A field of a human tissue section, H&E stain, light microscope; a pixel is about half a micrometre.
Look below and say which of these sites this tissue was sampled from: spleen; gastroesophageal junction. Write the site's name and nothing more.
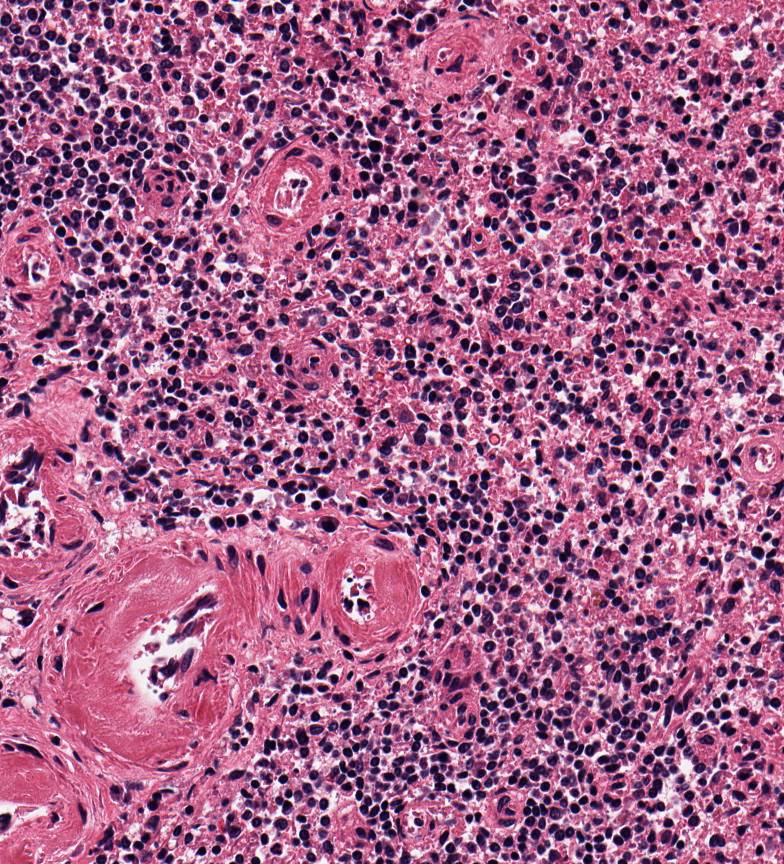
spleen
